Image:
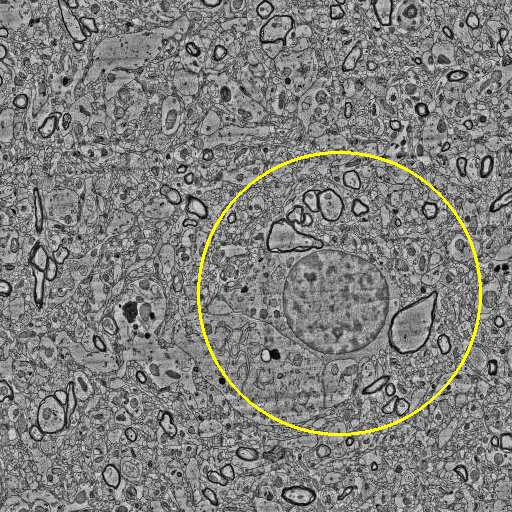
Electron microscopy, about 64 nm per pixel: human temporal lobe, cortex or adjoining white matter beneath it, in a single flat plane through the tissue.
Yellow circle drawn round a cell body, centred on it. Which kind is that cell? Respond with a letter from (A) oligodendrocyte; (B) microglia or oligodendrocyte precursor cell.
A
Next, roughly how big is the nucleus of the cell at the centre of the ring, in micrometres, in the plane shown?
The nucleus comes to roughly 7 micrometres across in this plane.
